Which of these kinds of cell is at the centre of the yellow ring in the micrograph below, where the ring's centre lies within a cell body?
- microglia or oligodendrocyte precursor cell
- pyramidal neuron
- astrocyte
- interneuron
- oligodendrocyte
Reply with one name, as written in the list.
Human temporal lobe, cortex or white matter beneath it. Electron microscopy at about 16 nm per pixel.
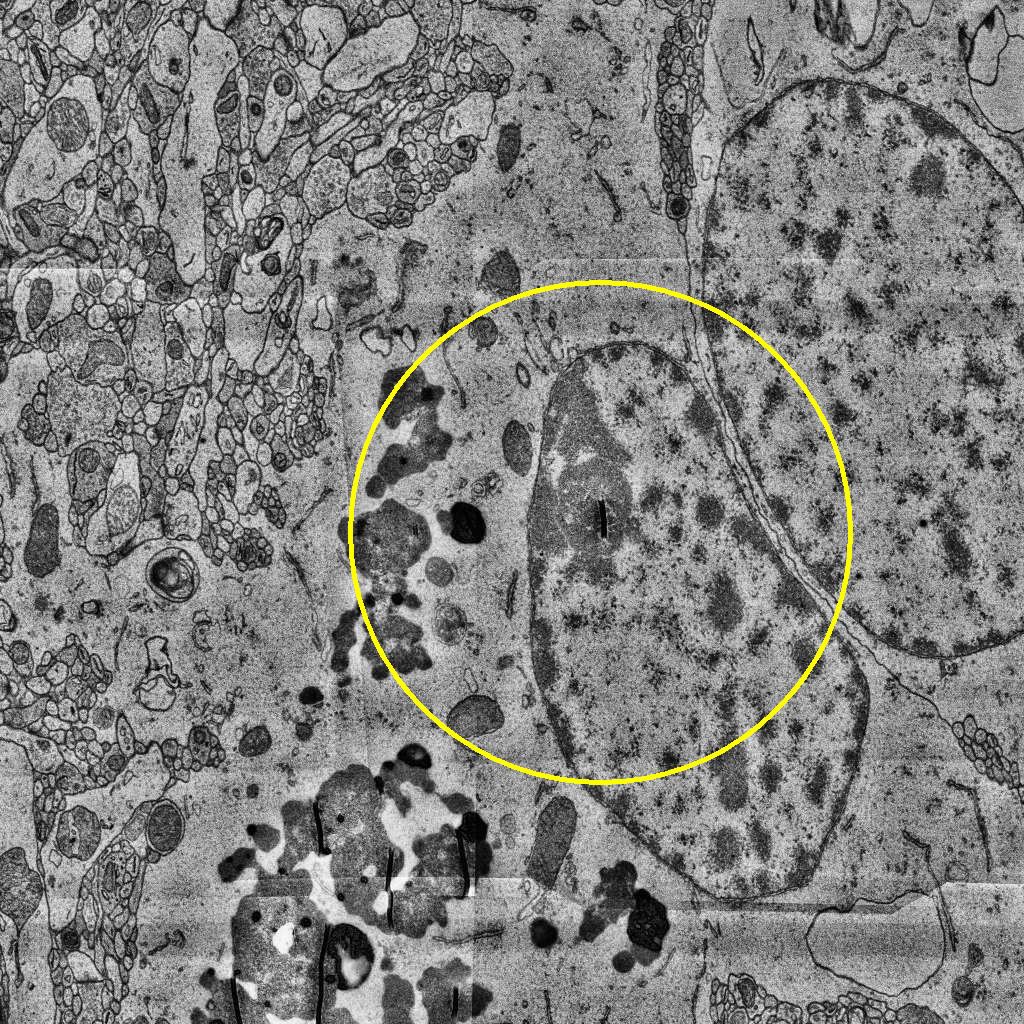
astrocyte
